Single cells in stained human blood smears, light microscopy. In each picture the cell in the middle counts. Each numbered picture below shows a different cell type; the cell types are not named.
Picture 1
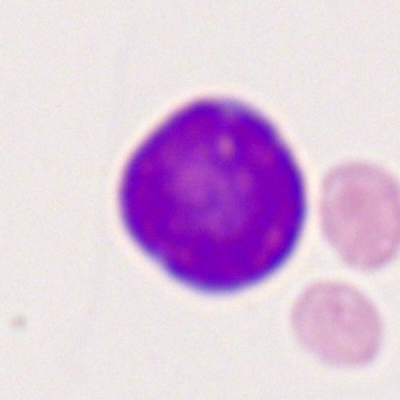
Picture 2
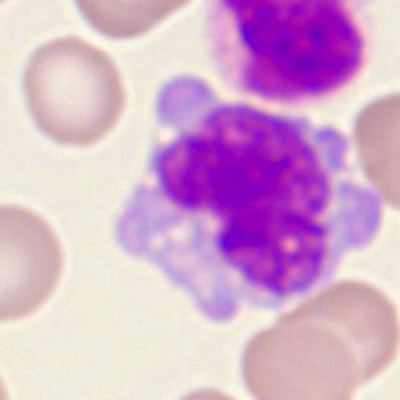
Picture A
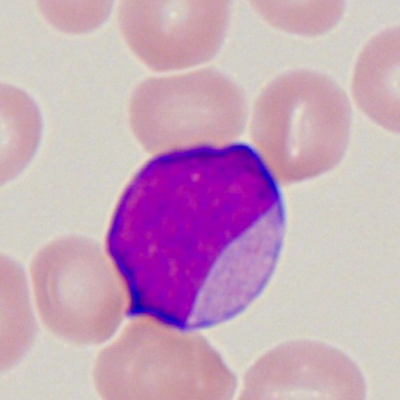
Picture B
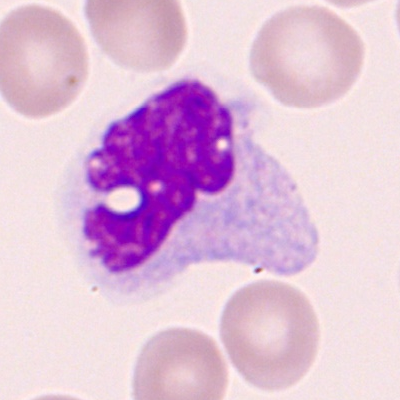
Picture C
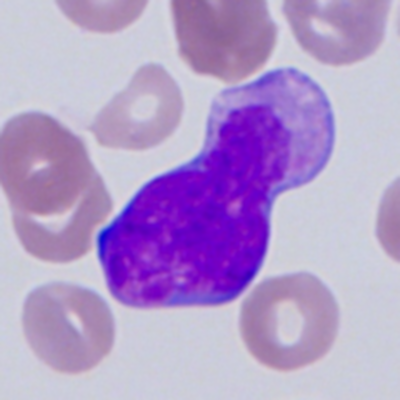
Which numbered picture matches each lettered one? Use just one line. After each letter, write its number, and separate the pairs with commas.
A 1, B 2, C 1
